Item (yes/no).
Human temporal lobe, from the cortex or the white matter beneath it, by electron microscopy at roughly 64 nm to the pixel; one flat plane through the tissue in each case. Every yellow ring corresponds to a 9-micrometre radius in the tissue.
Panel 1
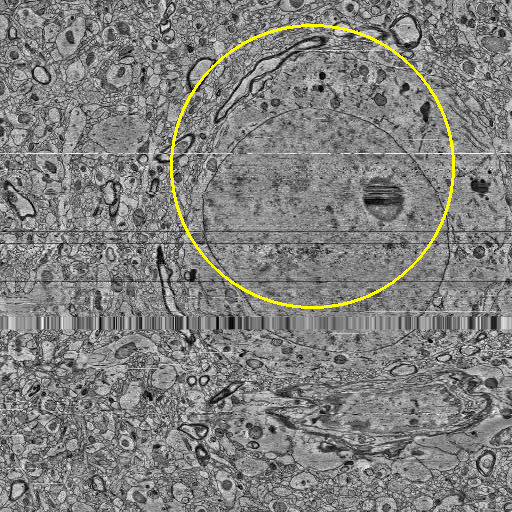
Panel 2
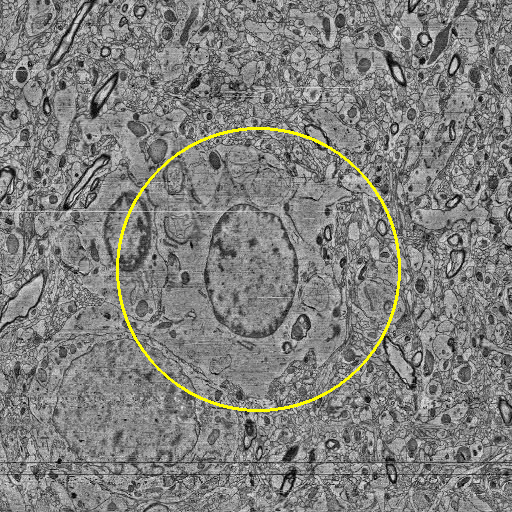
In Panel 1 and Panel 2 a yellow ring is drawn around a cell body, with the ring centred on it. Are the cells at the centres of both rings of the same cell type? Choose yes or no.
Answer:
no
